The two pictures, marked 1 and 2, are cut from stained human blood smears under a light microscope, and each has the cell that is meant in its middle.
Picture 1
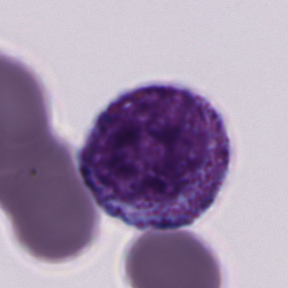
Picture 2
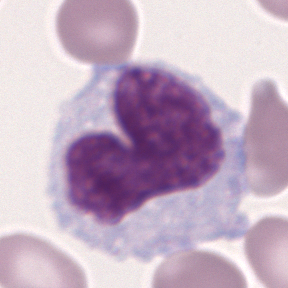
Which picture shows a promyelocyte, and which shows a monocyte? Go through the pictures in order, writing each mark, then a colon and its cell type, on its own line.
1: promyelocyte
2: monocyte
